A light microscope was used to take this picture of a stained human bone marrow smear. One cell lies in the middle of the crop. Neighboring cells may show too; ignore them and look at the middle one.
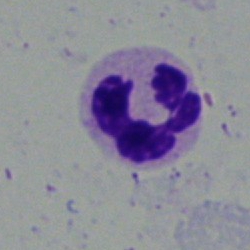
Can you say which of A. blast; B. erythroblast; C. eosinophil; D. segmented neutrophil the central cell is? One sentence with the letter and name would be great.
Answer key: option D, the middle cell being a segmented neutrophil.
